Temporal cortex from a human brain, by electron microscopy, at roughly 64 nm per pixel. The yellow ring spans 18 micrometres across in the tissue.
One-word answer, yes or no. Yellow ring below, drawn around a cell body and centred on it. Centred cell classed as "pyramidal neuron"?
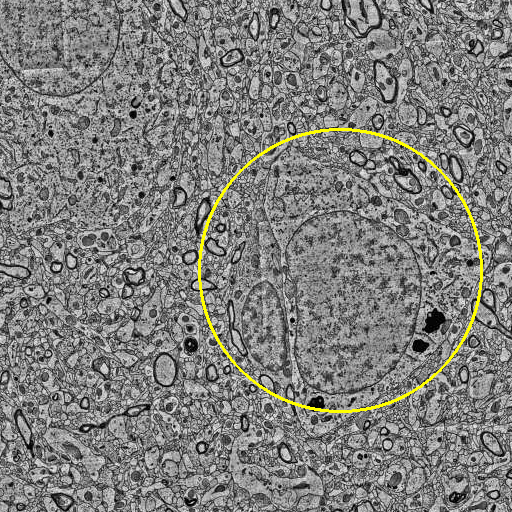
yes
